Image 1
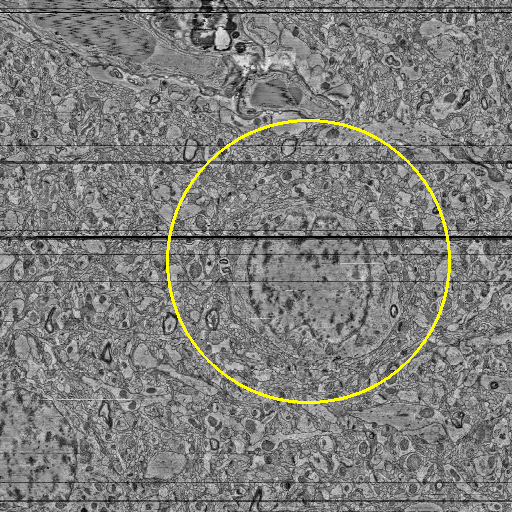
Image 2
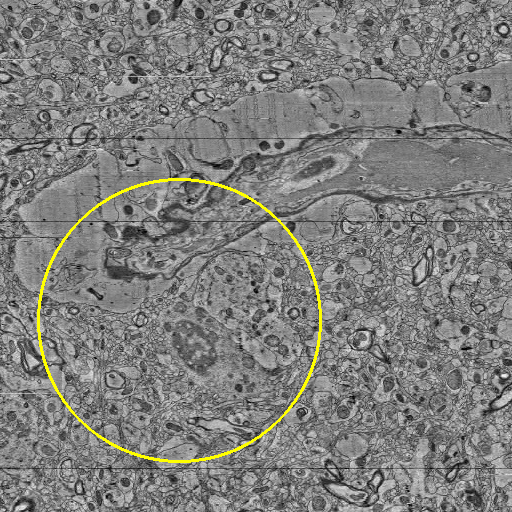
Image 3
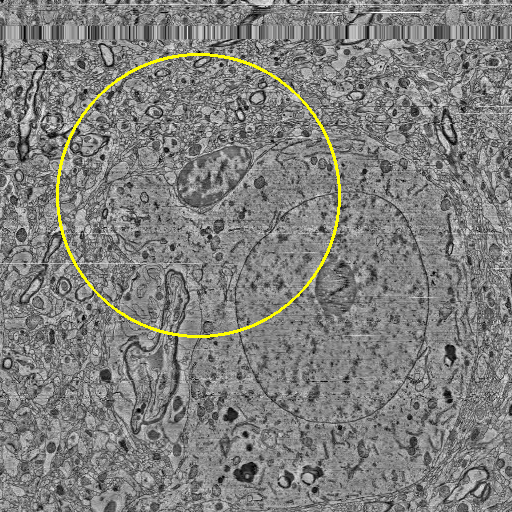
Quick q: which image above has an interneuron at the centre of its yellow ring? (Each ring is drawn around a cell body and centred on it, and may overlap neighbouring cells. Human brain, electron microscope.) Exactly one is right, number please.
1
